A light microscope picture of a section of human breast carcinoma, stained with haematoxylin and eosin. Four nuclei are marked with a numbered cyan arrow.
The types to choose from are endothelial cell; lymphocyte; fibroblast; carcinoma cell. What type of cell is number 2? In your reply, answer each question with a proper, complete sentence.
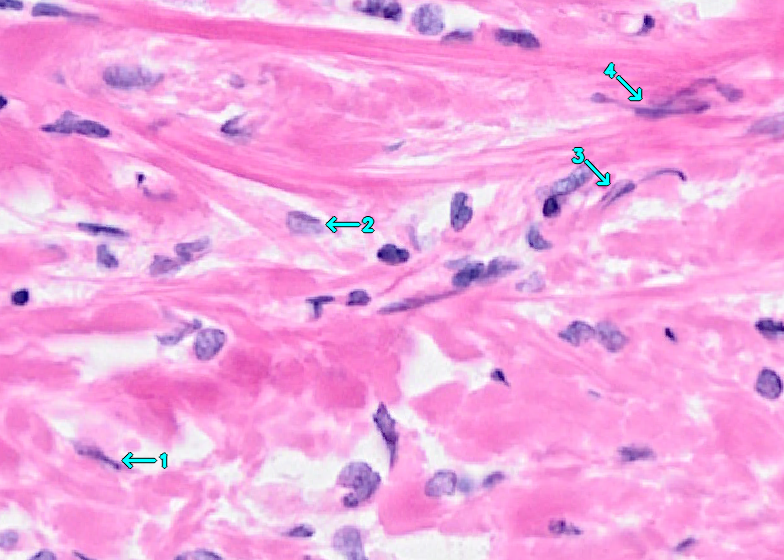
Cell 2, among those numbered, is a fibroblast.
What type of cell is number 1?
Here, the cell given the number 1 is a fibroblast.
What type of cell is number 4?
To a fibroblast belongs the nucleus marked 4.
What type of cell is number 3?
The one labeled 3 is an endothelial cell, to put it simply.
